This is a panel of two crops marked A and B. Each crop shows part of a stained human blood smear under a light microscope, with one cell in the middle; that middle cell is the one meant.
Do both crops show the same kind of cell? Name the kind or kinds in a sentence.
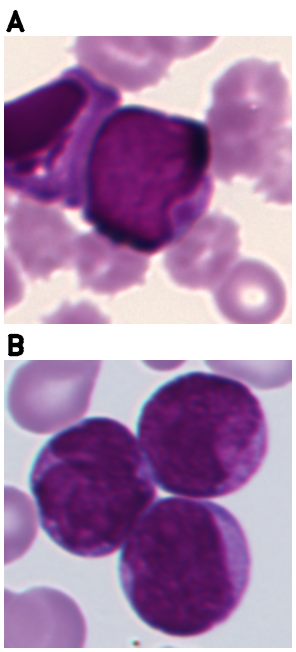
Yes, both crops show myeloblasts, each crop centred on one of them.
